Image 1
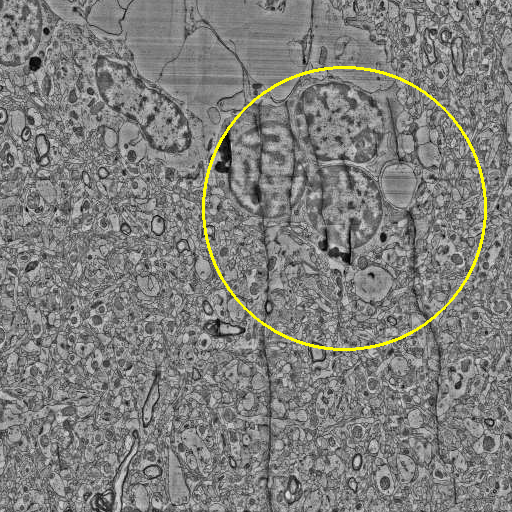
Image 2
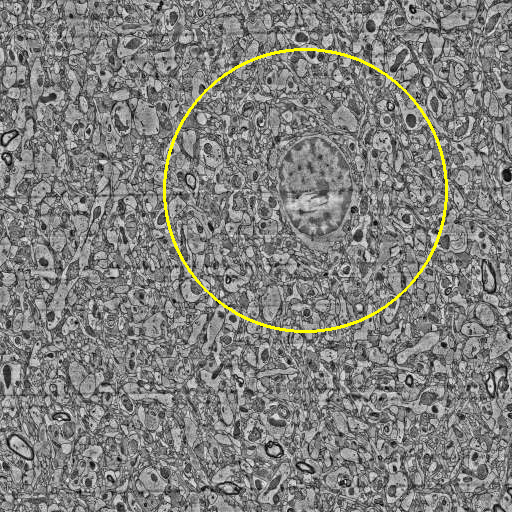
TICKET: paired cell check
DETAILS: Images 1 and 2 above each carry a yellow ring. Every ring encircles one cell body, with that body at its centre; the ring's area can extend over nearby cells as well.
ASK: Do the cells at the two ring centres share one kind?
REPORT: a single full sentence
Yes, the ring-centre cells of Images 1 and 2 belong to a single kind.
